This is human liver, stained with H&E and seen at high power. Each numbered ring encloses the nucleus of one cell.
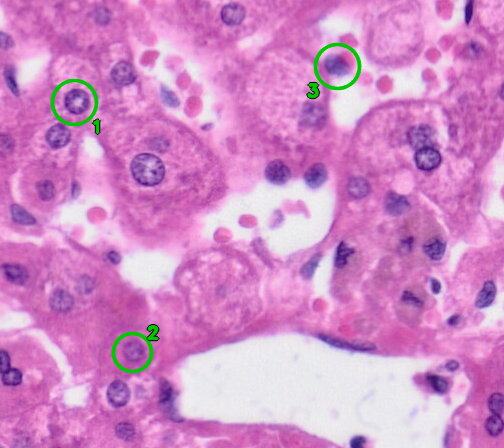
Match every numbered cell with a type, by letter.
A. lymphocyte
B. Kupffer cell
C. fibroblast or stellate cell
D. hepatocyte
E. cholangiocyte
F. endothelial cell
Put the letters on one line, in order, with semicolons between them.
D; D; F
